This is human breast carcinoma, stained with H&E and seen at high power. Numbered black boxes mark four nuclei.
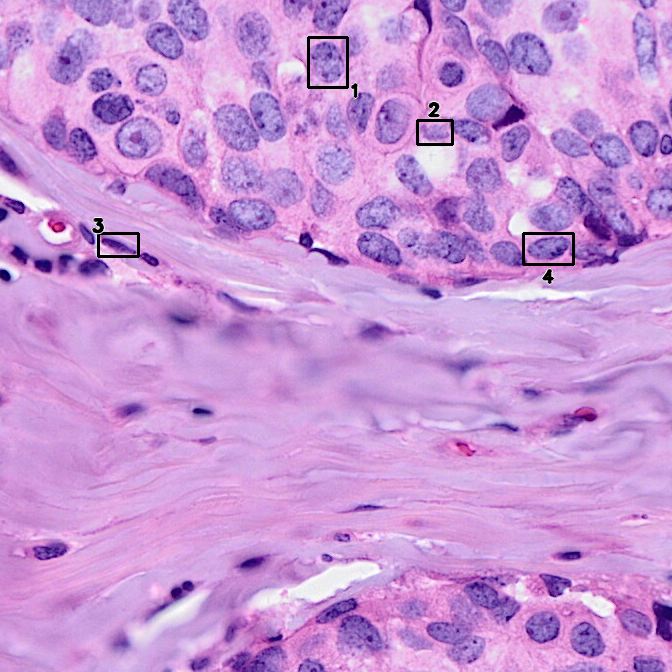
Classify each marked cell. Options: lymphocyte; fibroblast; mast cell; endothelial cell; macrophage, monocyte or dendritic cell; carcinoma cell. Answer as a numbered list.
1. carcinoma cell
2. carcinoma cell
3. fibroblast
4. carcinoma cell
